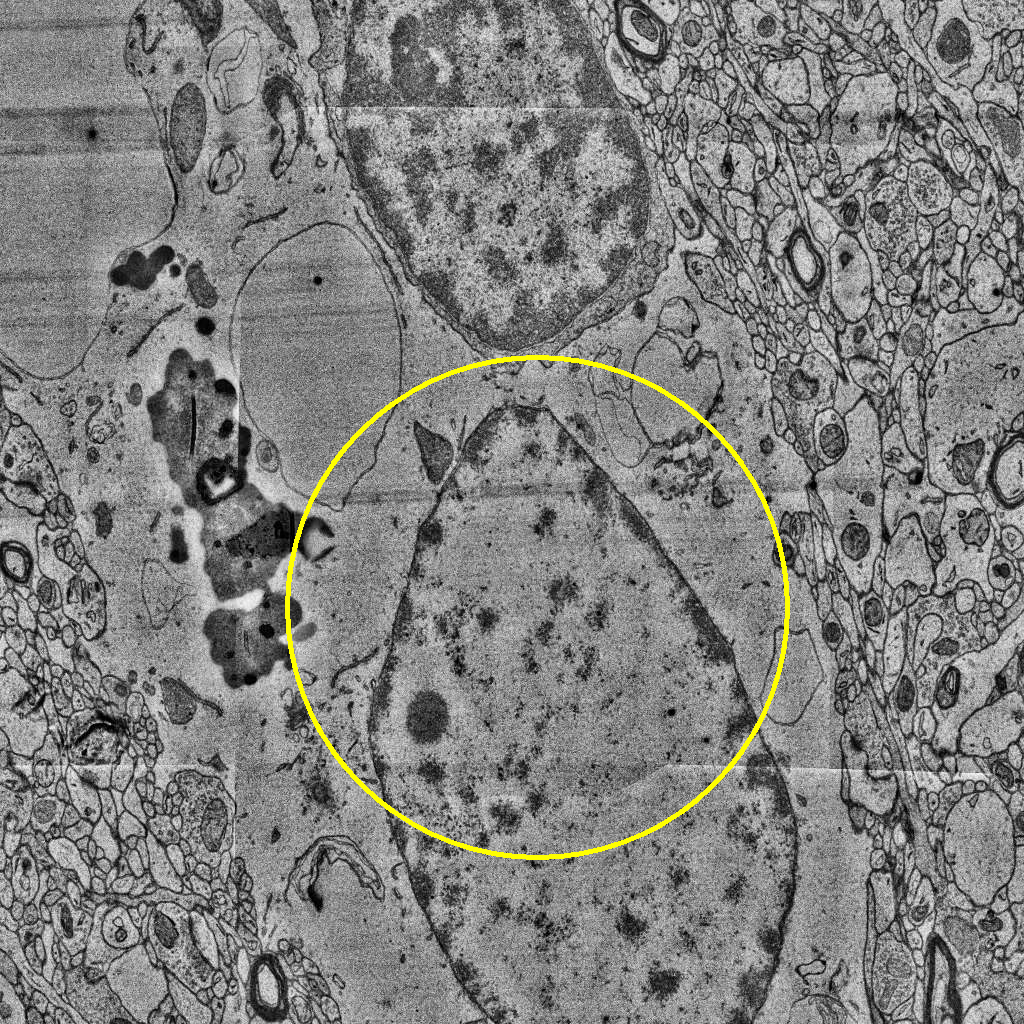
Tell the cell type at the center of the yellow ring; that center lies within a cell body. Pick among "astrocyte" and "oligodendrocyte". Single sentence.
The ring's center lies in the body of an astrocyte.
